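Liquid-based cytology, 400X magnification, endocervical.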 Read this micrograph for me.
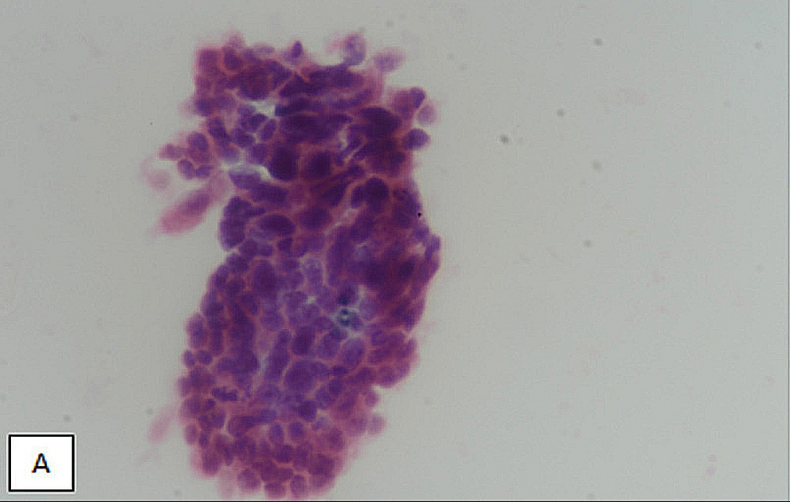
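The cells are crowded and overlap, with enlarged oval to elongated nuclei that stain dark purple against pink to mauve cytoplasm. The nuclei are unevenly spaced and stacked at different levels, so the cluster lacks a flat, orderly sheet arrangement. Cell borders are indistinct in places, and small cells with pink cytoplasm project from the upper left edge of the cluster.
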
